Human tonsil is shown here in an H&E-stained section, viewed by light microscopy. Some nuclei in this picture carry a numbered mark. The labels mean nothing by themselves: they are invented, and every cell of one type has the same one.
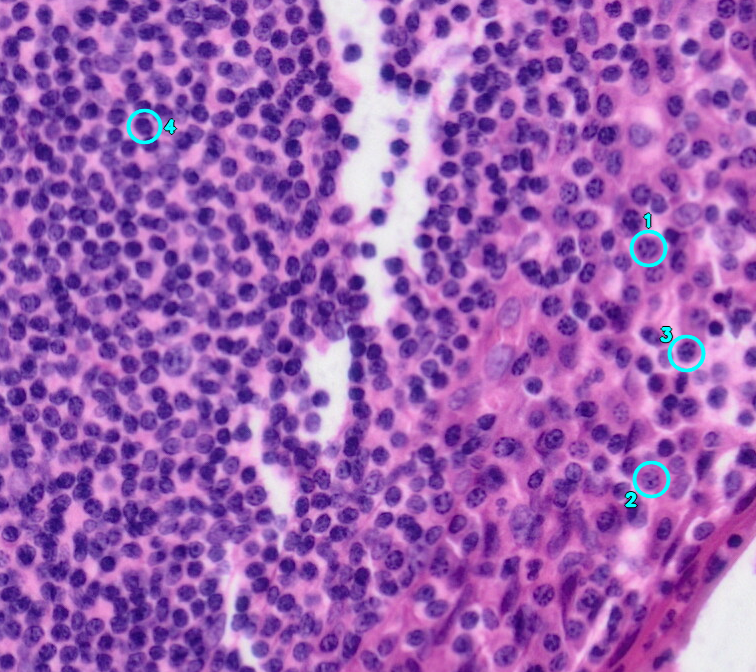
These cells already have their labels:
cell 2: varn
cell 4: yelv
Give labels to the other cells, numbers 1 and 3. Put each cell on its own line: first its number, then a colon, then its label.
1: varn
3: varn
